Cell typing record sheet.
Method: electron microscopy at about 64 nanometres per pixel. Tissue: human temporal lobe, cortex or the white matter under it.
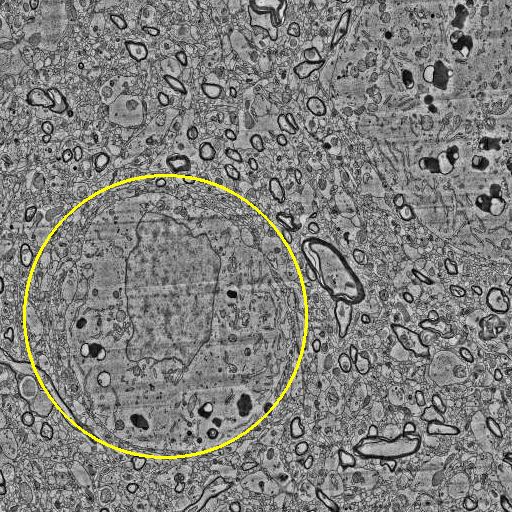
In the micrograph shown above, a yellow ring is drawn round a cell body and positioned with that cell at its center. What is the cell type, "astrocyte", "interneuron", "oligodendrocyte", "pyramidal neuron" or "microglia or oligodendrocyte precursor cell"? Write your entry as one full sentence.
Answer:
The cell body at the center of the ring belongs to a pyramidal neuron.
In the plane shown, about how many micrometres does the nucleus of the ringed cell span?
In this plane the nucleus measures roughly 9 by 6 micrometers.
